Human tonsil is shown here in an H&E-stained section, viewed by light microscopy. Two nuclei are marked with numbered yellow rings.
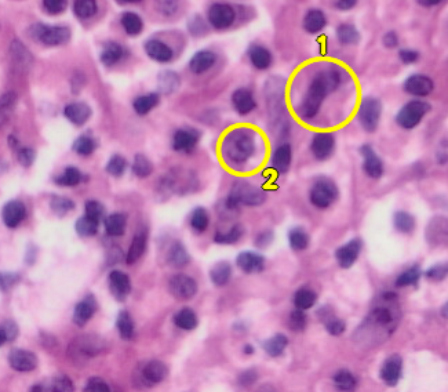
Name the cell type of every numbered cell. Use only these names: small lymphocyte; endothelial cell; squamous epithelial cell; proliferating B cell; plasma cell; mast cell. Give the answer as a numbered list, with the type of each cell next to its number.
1. squamous epithelial cell
2. plasma cell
